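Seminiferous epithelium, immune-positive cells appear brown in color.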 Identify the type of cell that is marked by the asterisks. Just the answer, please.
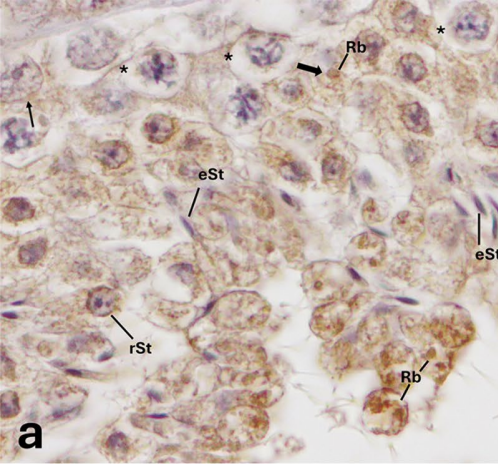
Spermatocytes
